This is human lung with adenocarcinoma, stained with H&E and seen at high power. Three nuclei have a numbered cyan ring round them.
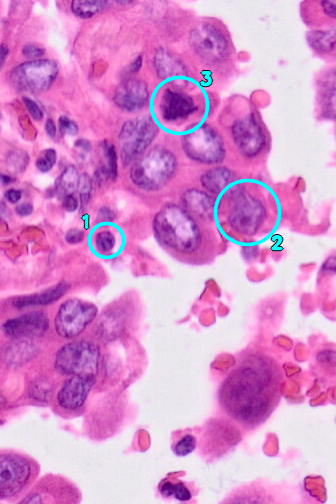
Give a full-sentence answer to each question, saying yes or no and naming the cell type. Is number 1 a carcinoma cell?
No, it is a lymphocyte that is marked with number 1, not a carcinoma cell.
